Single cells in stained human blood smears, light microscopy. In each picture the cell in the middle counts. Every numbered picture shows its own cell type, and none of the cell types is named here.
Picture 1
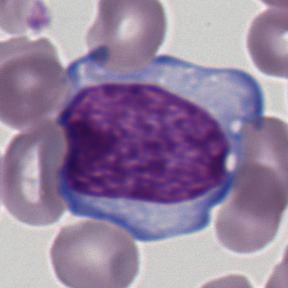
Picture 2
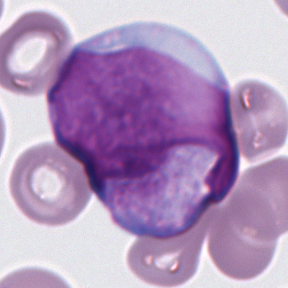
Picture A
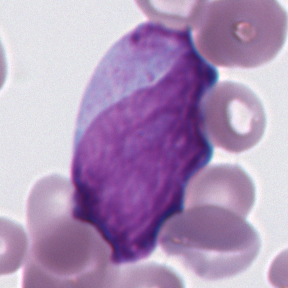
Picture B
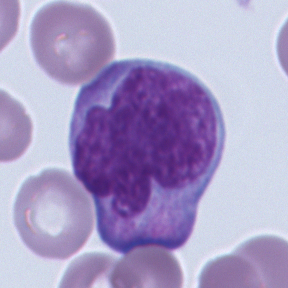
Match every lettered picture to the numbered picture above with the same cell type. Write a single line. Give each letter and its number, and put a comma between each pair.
A 2, B 2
